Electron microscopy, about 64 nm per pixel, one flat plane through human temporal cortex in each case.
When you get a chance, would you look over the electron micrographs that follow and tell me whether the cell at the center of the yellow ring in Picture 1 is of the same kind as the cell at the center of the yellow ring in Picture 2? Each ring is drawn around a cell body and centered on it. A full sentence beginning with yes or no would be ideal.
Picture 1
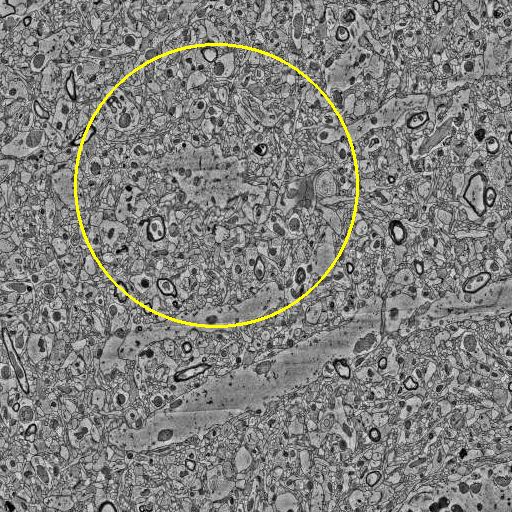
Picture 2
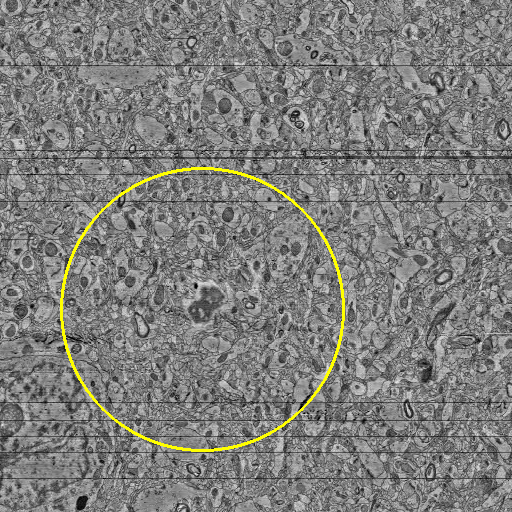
No, they are two kinds of cell.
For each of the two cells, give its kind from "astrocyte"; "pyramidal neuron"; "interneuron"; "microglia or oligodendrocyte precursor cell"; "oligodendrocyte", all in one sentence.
The first picture has an interneuron in its ring, the second has a microglial cell or oligodendrocyte precursor cell.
